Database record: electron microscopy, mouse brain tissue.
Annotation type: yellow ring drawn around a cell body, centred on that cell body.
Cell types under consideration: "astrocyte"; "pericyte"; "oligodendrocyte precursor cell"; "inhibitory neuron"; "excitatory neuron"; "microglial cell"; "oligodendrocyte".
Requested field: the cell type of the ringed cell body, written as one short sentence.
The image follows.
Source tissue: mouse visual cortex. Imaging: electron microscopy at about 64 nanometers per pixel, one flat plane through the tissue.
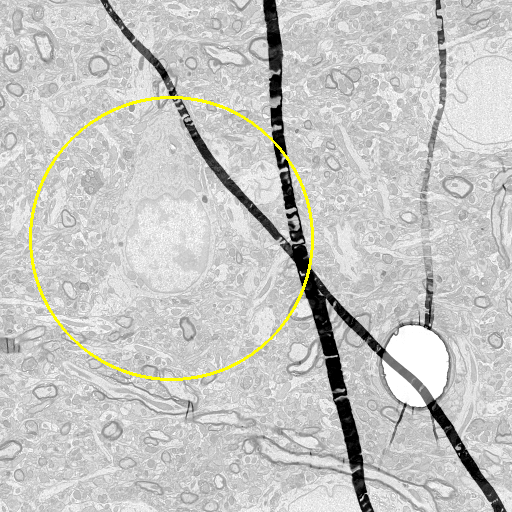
The ringed cell body represents an oligodendrocyte.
